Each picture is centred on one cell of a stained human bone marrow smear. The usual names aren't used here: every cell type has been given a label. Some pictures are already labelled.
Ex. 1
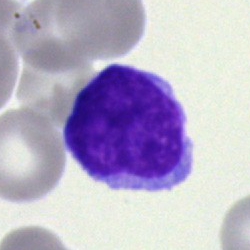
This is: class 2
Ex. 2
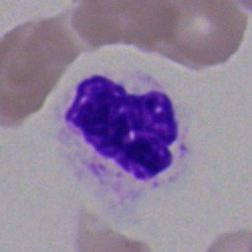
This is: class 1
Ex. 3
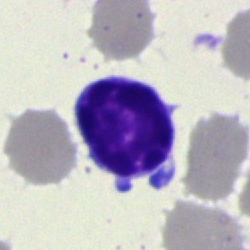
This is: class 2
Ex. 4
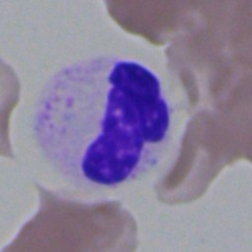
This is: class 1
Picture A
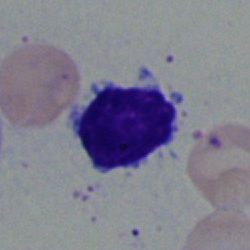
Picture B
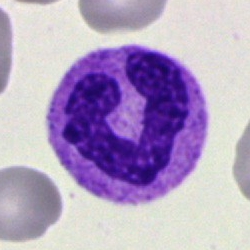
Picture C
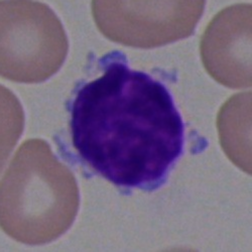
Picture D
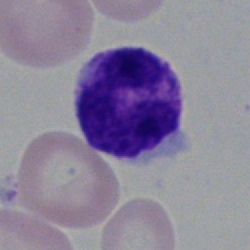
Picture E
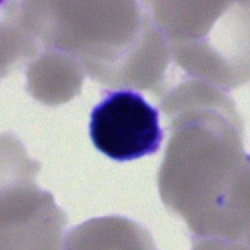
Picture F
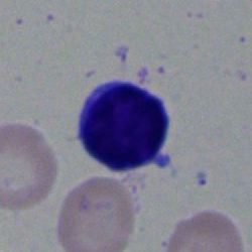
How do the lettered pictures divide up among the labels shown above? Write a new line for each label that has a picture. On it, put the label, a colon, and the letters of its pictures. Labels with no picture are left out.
class 2: A, C, E, F
class 1: B, D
